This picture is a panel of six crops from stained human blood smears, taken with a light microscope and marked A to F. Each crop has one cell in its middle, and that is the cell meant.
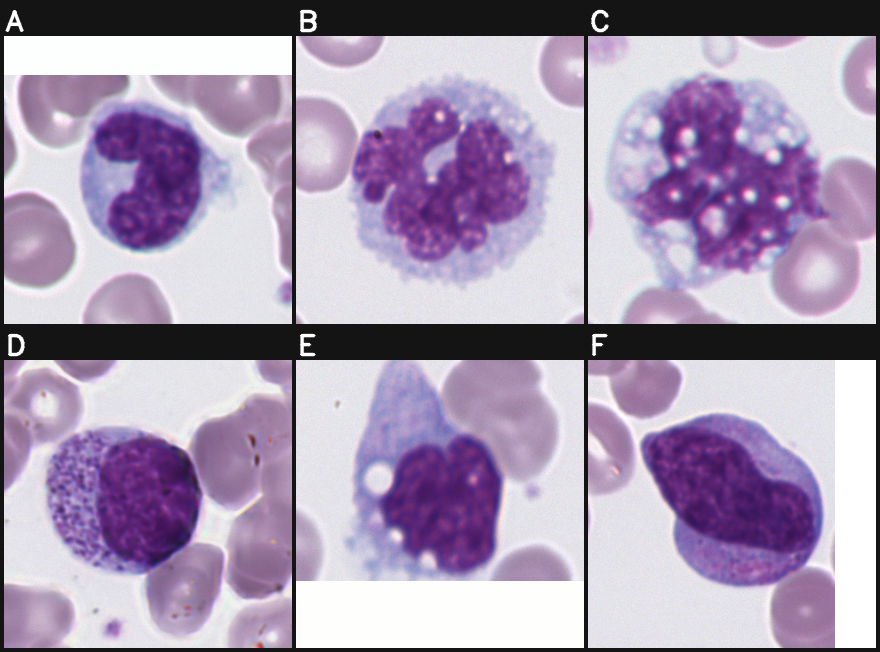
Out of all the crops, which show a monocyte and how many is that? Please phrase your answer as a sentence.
It is monocytes that crops A, B, C and E show, four crops in all.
